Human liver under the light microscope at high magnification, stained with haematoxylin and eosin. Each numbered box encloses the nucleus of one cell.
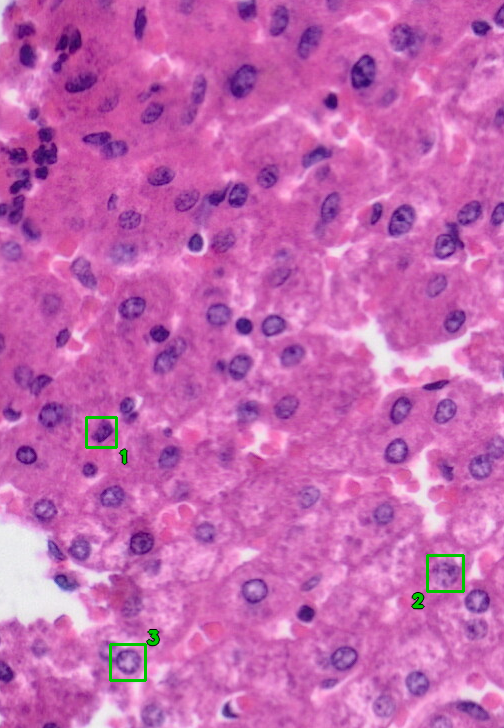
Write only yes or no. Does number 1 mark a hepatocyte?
no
